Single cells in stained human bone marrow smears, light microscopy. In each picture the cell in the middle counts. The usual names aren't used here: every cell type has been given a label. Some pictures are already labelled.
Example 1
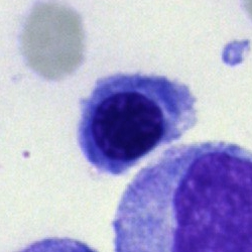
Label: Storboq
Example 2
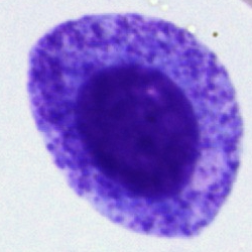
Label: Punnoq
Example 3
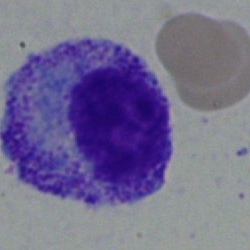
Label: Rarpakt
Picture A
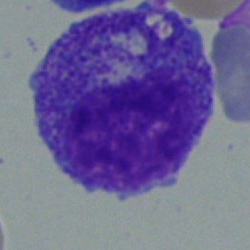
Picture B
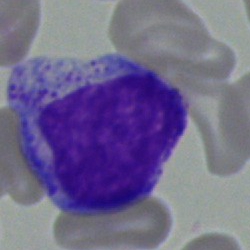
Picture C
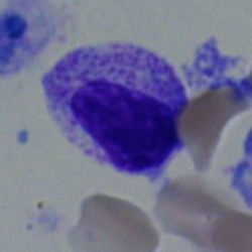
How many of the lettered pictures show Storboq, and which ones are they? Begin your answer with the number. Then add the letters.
0, none of them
